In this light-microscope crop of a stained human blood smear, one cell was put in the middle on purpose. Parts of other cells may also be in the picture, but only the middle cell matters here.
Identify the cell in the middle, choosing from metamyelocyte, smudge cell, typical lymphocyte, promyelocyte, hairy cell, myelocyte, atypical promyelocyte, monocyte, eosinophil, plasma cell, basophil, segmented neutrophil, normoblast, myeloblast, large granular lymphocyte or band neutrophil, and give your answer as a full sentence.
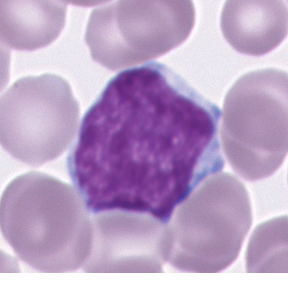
What sits at the centre of this crop is a typical lymphocyte.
